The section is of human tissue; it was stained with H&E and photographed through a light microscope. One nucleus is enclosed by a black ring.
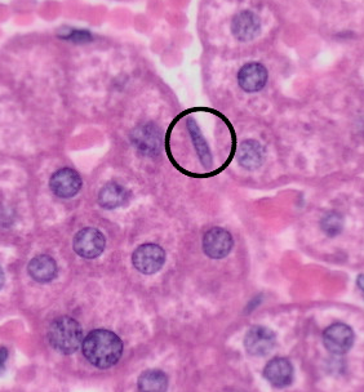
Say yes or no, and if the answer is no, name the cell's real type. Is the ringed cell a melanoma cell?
No, it is a Kupffer cell.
